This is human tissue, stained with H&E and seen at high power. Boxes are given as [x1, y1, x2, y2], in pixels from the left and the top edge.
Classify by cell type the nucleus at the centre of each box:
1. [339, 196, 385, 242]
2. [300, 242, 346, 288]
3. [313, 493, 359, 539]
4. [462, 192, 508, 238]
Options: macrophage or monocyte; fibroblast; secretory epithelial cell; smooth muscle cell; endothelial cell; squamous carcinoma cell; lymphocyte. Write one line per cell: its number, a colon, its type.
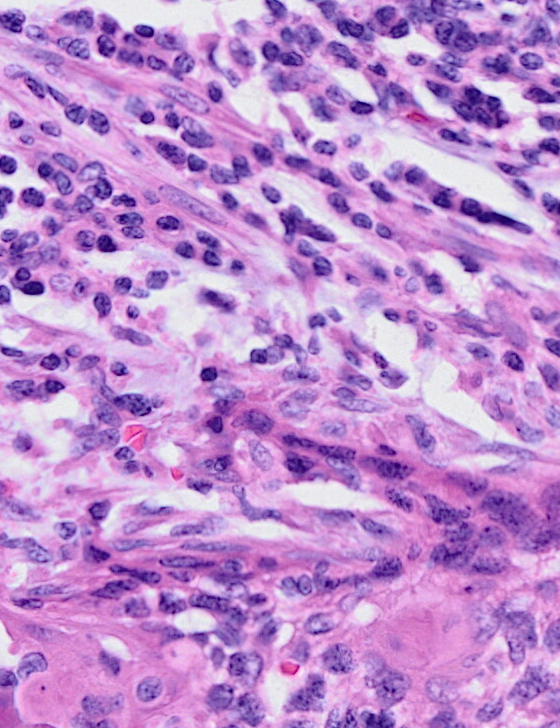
1: lymphocyte
2: lymphocyte
3: fibroblast
4: lymphocyte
